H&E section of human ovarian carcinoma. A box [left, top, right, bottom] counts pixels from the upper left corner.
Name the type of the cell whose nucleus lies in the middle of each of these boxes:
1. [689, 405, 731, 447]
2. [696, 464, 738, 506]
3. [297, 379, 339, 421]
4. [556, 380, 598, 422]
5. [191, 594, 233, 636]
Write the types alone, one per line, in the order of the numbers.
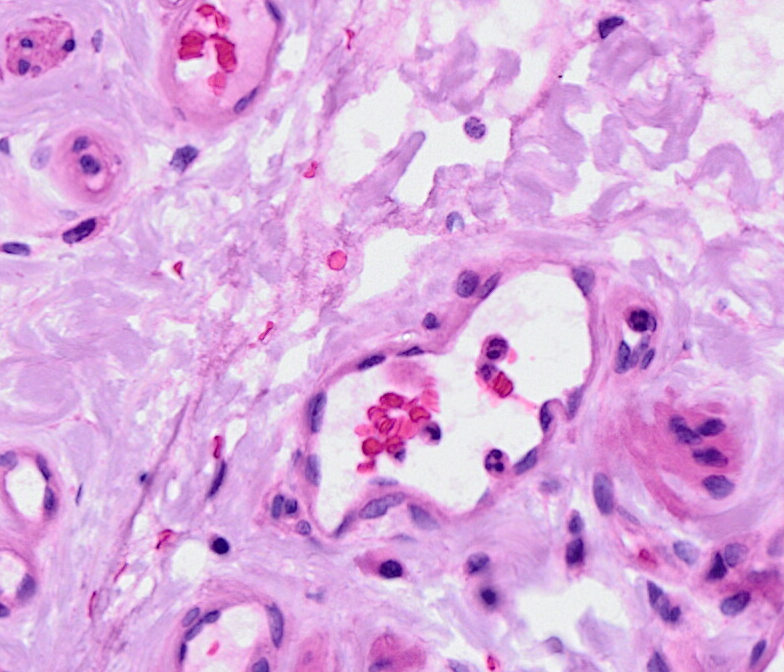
smooth muscle cell
smooth muscle cell
endothelial cell
endothelial cell
endothelial cell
